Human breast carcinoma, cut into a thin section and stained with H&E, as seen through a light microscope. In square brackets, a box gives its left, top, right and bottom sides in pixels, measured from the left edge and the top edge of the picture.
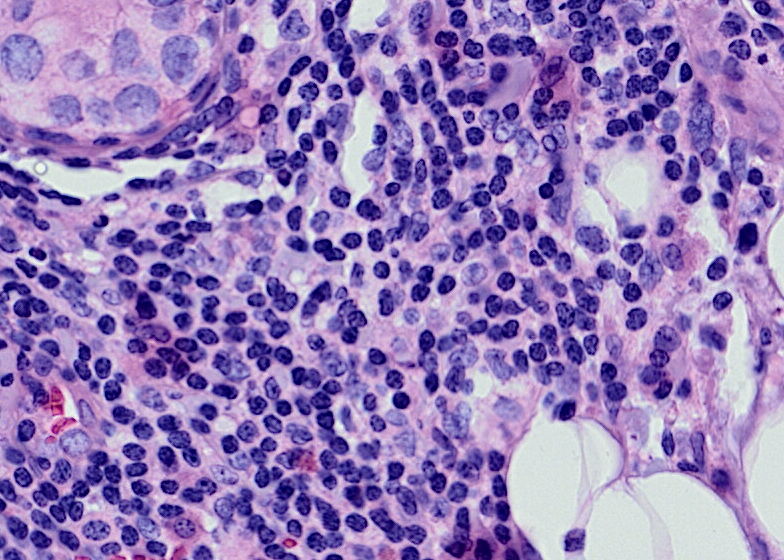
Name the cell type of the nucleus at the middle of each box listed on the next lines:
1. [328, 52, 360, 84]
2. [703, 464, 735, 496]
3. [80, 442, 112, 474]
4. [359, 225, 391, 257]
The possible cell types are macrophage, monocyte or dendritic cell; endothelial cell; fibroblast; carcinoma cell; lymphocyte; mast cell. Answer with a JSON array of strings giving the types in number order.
["lymphocyte", "mast cell", "lymphocyte", "lymphocyte"]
